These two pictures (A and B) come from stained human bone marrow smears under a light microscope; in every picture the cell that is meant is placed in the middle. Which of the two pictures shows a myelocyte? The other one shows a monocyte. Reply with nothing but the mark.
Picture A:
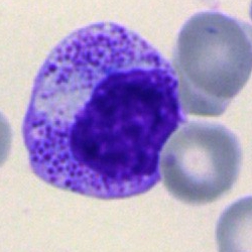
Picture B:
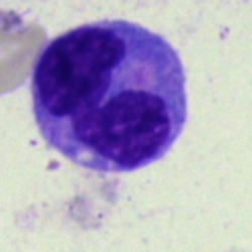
A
